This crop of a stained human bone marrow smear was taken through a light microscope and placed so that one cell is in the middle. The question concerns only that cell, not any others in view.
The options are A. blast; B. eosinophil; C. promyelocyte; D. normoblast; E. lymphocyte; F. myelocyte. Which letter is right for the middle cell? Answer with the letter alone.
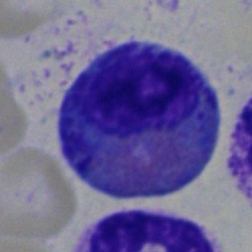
B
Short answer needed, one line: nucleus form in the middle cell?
Please observe that the nucleus consists of one compact round, oval or kidney-shaped mass.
